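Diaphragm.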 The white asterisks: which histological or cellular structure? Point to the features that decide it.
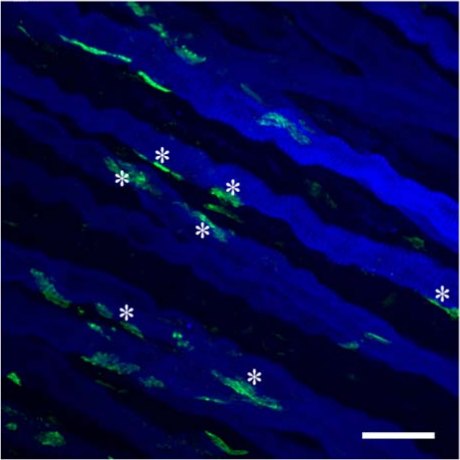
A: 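Endplates. Each asterisk sits beside a small green patch or streak. The green patches lie on the blue fibers, several along the same region.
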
